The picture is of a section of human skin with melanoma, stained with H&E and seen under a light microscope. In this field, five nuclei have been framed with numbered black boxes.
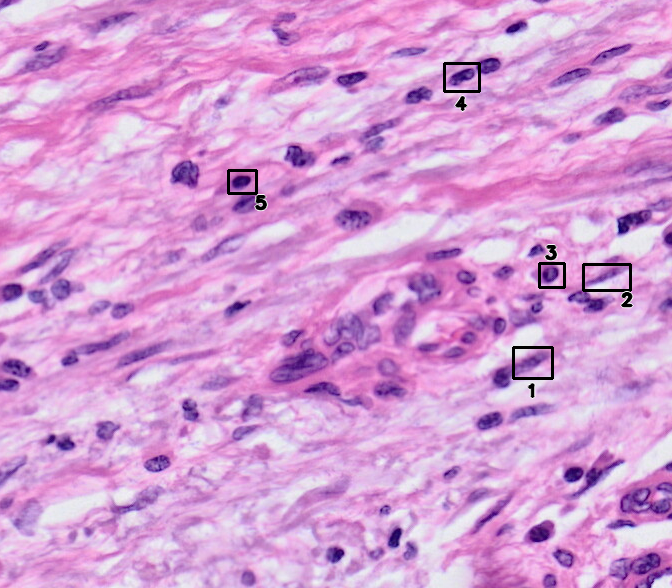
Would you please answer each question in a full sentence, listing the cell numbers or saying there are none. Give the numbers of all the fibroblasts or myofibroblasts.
Among the numbered cells, a fibroblast or myofibroblast occurs only once, as cell 2.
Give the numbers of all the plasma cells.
The cells given the numbers 3 and 5 are plasma cells.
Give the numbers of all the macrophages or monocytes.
Cell 1 is a macrophage or monocyte, while all remaining marked cells are of other types.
